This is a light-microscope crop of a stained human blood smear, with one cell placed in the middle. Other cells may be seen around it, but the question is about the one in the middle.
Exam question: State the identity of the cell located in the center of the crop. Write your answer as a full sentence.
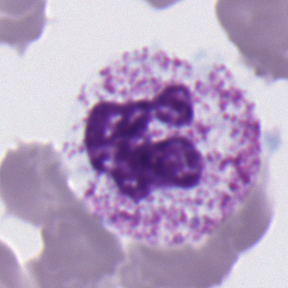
What the crop centres on is a neutrophil.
